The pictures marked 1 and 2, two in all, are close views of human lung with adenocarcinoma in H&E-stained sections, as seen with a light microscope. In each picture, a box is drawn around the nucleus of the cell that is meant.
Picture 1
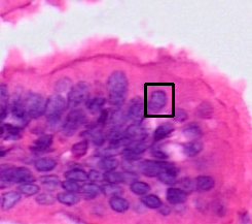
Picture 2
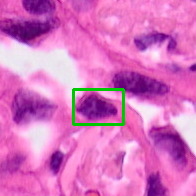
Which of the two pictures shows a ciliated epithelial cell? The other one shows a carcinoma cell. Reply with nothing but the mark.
1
